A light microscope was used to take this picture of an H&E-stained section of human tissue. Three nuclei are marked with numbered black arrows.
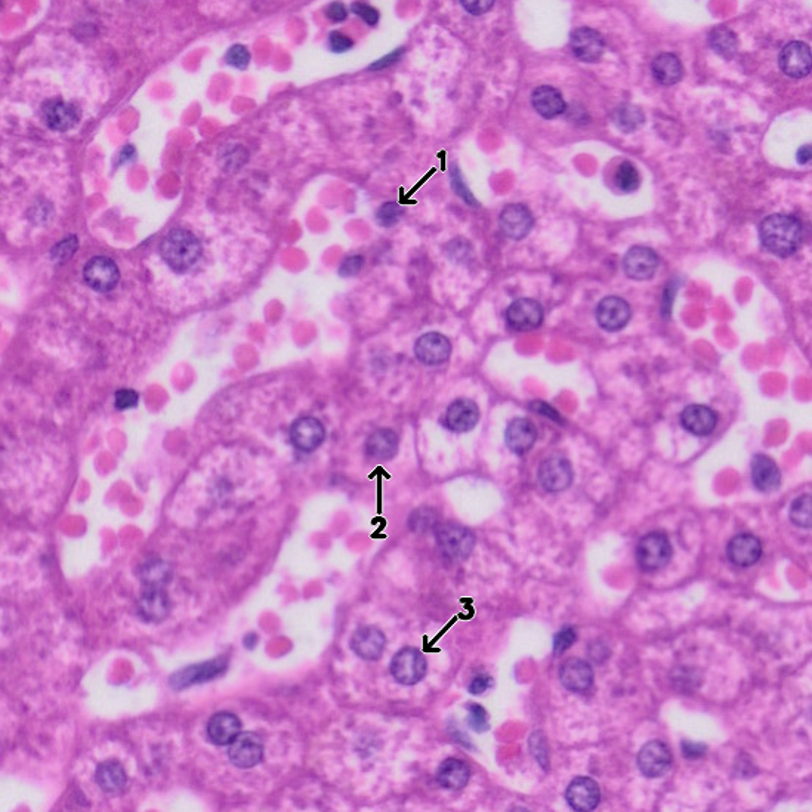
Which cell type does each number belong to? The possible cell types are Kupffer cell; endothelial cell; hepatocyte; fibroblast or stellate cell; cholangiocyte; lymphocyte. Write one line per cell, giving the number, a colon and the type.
1: fibroblast or stellate cell
2: hepatocyte
3: hepatocyte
